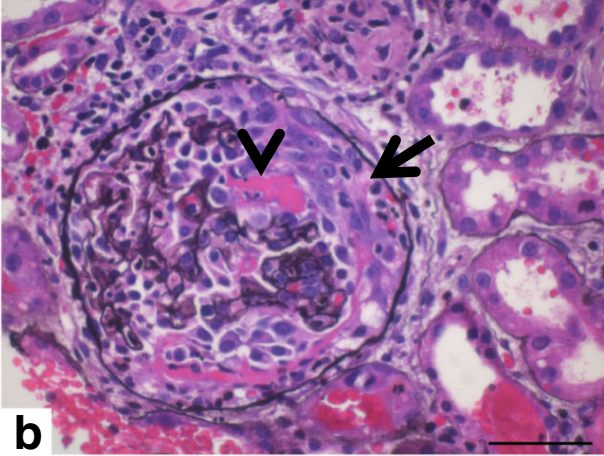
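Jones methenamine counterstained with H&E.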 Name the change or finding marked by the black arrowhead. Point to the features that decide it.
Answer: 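Fibrinoid necrosis. Bright pink, smooth, acellular material lies within the glomerular tuft where the arrowhead points.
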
